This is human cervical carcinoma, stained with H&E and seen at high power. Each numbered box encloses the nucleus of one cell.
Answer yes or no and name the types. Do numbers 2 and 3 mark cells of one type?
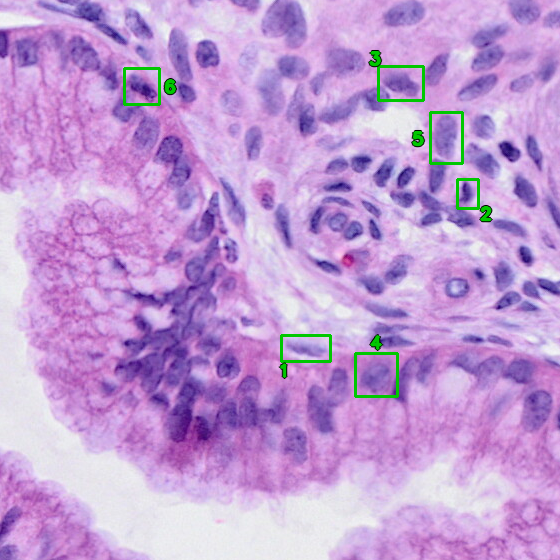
Yes, both are fibroblasts.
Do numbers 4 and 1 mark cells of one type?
No, cell 4 is a secretory epithelial cell and cell 1 is a fibroblast.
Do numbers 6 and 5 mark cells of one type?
No, cell 6 is a secretory epithelial cell and cell 5 is a fibroblast.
